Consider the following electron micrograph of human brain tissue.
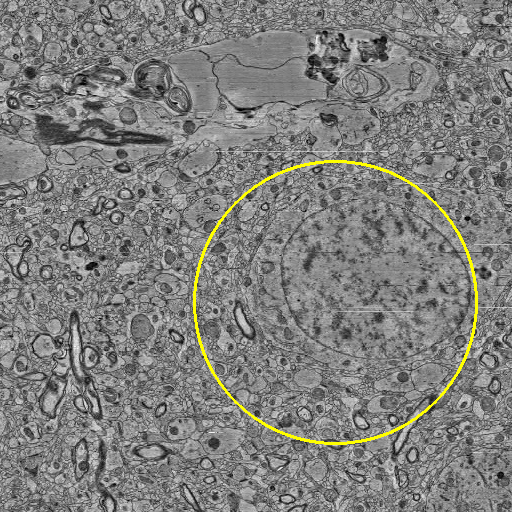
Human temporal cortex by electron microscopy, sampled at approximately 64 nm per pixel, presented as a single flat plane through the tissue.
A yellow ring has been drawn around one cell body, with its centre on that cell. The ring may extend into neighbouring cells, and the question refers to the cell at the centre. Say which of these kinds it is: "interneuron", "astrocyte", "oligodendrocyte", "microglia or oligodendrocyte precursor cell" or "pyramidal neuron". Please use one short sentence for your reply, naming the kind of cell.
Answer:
The centre of the ring falls on an interneuron.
